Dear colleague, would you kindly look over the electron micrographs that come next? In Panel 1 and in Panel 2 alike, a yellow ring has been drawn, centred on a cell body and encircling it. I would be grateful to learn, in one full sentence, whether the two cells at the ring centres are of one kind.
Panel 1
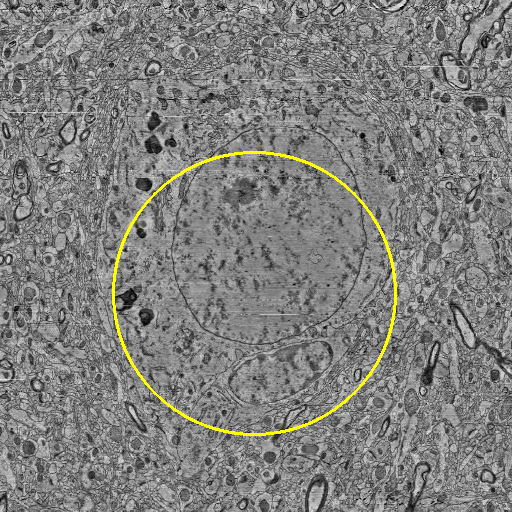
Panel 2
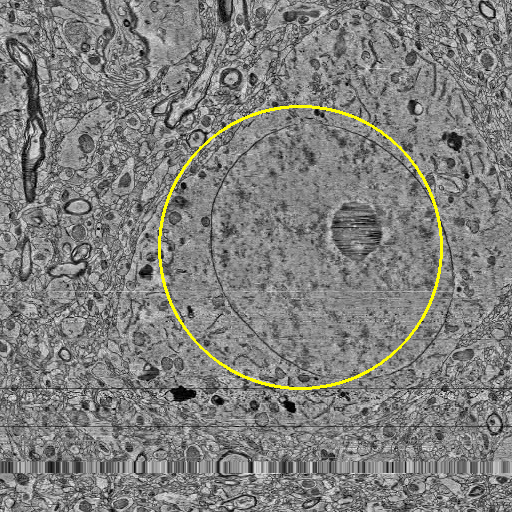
Yes, the cells in the middle of the rings in the two panels are of one kind.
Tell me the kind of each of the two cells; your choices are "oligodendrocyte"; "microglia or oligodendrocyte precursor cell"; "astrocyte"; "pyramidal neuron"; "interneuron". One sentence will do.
Both cells are the same kind, each one being a pyramidal neuron.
